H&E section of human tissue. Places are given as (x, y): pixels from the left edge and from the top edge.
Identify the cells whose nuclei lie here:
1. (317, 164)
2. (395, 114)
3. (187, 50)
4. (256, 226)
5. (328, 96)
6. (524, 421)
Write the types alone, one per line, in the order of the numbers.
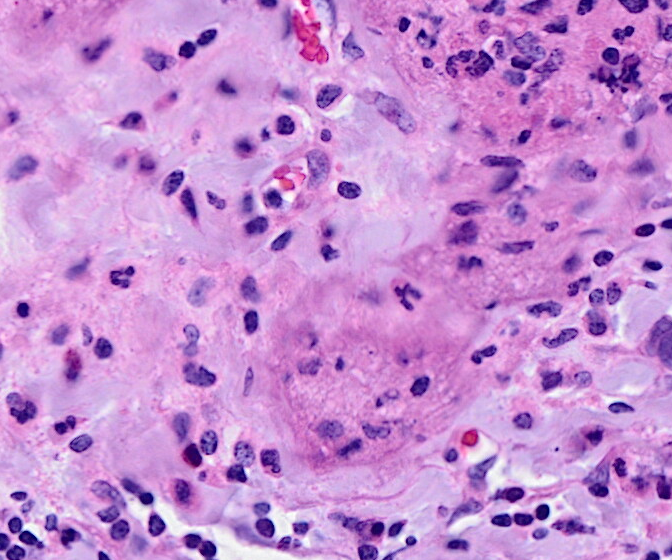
endothelial cell
fibroblast
lymphocyte
lymphocyte
mast cell
mast cell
